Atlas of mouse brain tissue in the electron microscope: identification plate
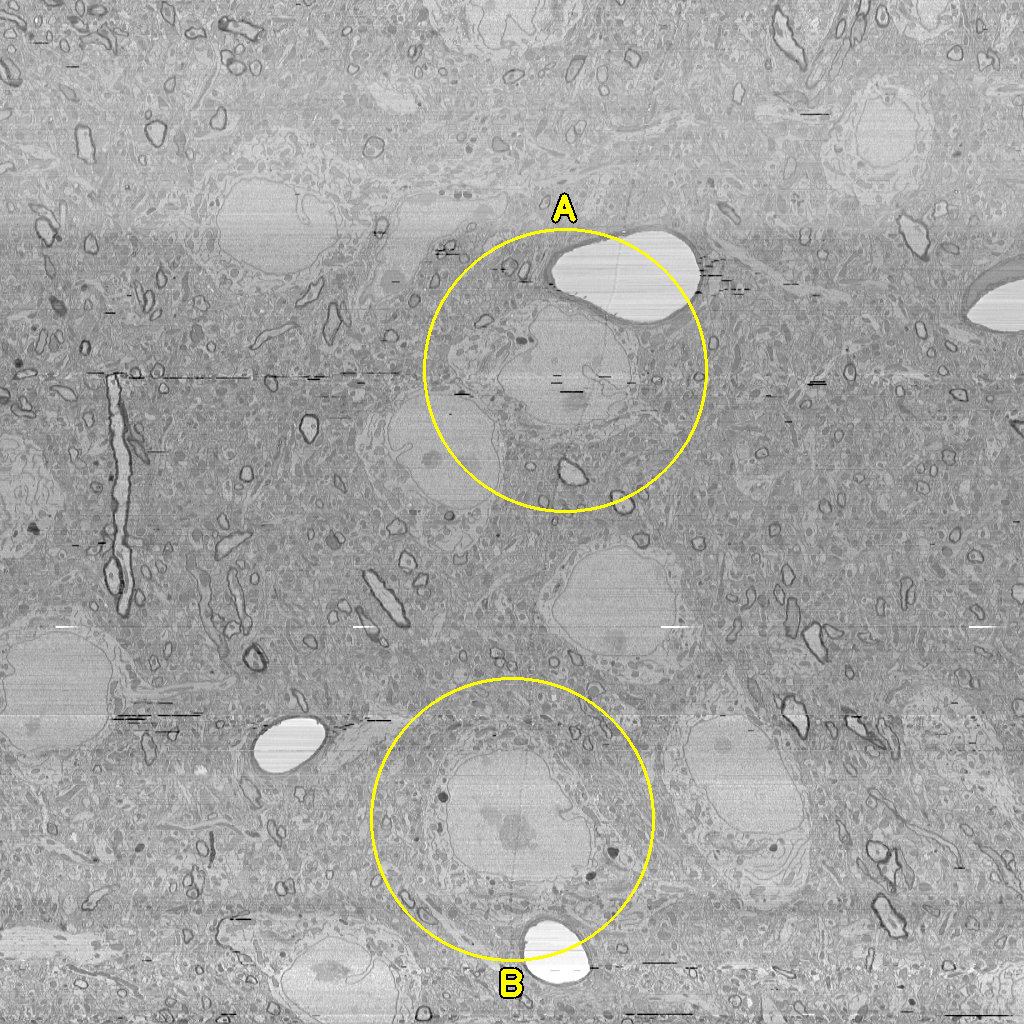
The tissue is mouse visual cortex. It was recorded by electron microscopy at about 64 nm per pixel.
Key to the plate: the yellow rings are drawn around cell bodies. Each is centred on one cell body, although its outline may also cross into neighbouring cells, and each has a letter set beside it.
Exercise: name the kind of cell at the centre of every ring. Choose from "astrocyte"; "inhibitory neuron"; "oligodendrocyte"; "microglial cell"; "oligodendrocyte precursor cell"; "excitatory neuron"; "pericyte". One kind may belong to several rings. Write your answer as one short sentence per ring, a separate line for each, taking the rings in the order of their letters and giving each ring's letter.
The centre of ring A is occupied by an excitatory neuron.
The centre of ring B is occupied by an inhibitory neuron.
